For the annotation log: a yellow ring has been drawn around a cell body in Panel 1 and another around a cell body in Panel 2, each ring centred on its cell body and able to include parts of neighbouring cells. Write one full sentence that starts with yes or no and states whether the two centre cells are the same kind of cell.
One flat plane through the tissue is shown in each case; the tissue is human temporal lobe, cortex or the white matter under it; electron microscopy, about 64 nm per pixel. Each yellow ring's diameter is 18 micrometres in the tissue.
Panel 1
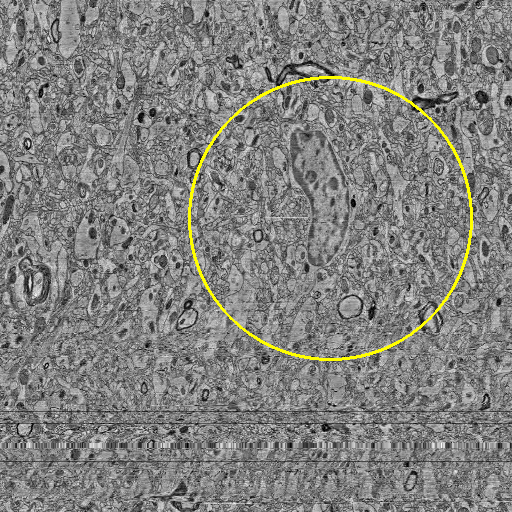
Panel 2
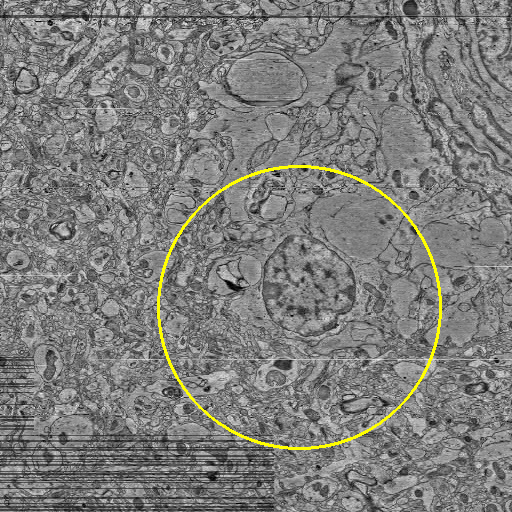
Yes, the two centre cells are the same kind of cell.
